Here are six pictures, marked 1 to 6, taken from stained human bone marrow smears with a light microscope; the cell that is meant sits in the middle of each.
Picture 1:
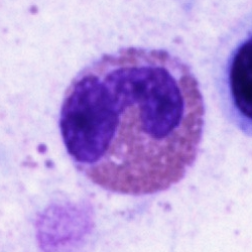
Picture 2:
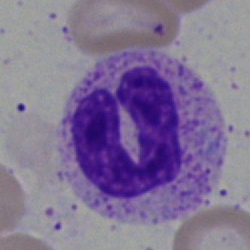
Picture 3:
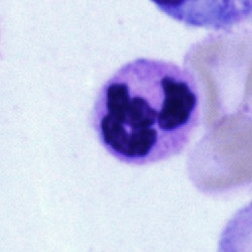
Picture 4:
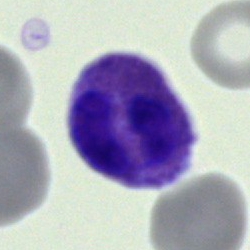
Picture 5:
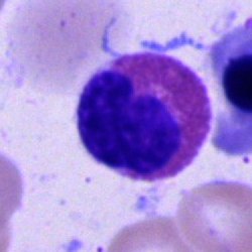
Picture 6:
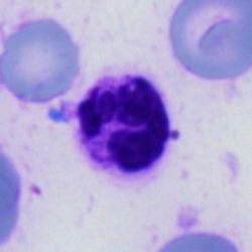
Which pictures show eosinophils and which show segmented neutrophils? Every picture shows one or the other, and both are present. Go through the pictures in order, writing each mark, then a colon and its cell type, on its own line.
1: eosinophil
2: segmented neutrophil
3: segmented neutrophil
4: eosinophil
5: eosinophil
6: segmented neutrophil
